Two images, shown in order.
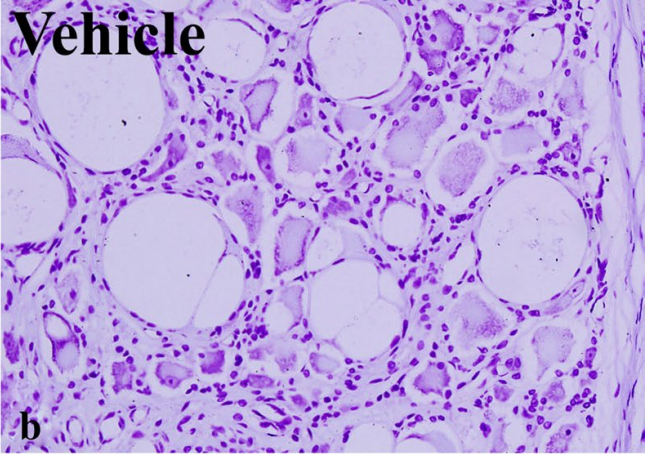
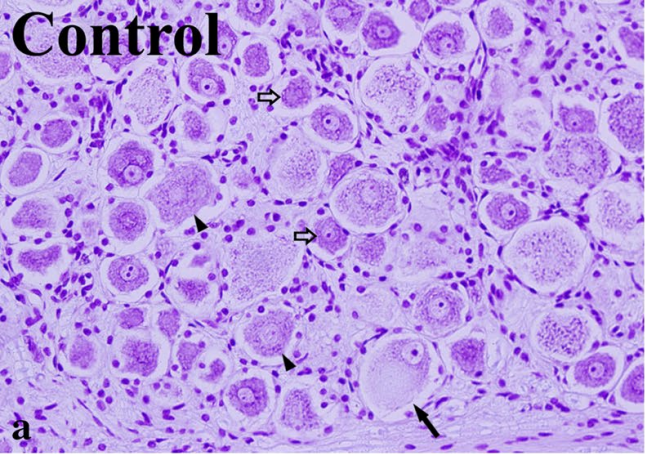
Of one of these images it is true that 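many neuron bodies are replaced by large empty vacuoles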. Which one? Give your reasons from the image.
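The first image. First image: several large clear, unstained round spaces among few violet-stained cell bodies. Second image: the field is densely filled with violet-stained round cell bodies with visible nuclei.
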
